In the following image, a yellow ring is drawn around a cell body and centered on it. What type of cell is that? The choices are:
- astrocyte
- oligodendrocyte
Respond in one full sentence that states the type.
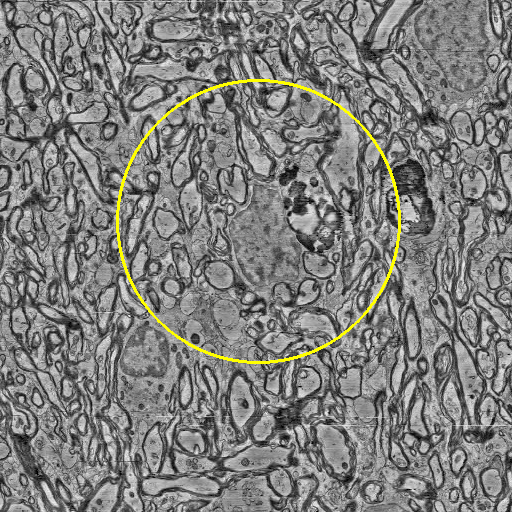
The cell at the center of the yellow ring in the image is an oligodendrocyte.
